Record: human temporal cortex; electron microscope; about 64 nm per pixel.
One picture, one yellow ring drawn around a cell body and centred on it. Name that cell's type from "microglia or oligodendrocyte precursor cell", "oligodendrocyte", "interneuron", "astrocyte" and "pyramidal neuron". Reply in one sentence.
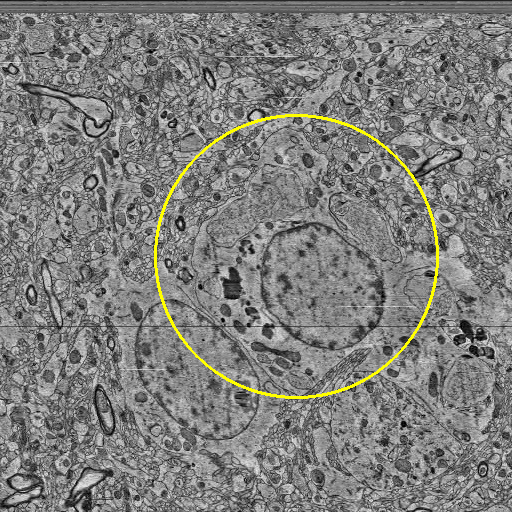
Centred in the ring is an astrocyte.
